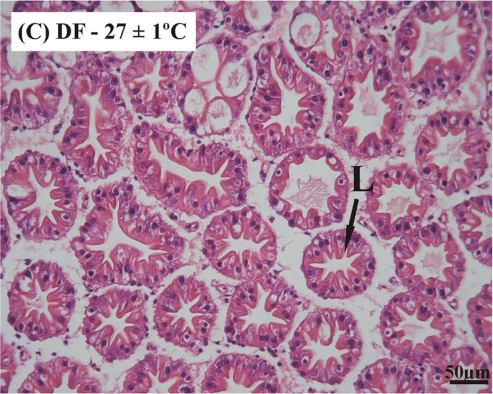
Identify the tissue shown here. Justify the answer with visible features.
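Many closely packed tubules cut in cross section. Each tubule has a star-shaped central lumen lined by a single layer of columnar epithelial cells. Thin intertubular spaces separate the tubules.
Hence: hepatopancreas.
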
